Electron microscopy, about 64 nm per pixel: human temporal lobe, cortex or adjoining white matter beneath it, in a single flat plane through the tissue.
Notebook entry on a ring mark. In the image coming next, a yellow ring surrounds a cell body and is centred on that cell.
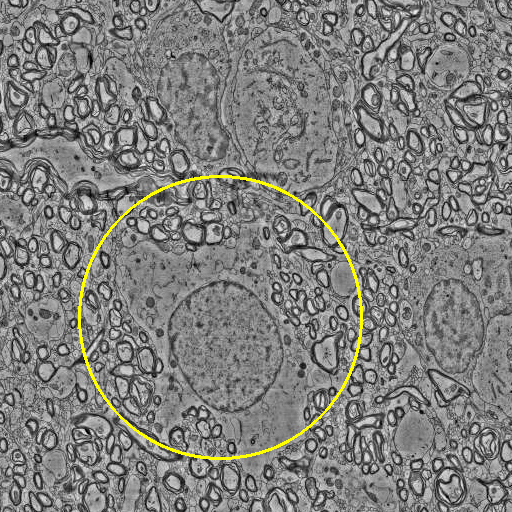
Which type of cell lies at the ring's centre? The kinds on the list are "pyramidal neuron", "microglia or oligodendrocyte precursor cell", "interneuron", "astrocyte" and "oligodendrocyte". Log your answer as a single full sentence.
Centred in the yellow ring is an astrocyte, the cell recorded for this image.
